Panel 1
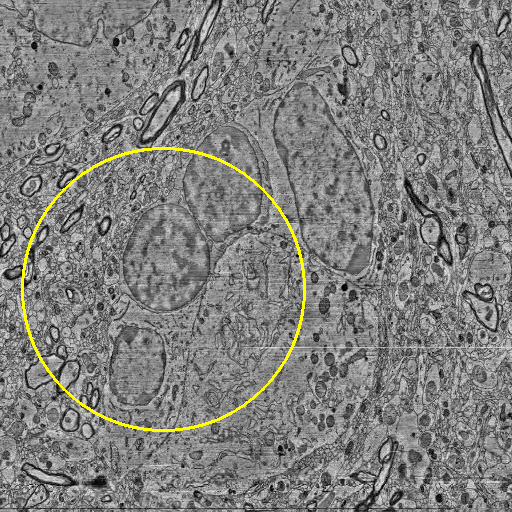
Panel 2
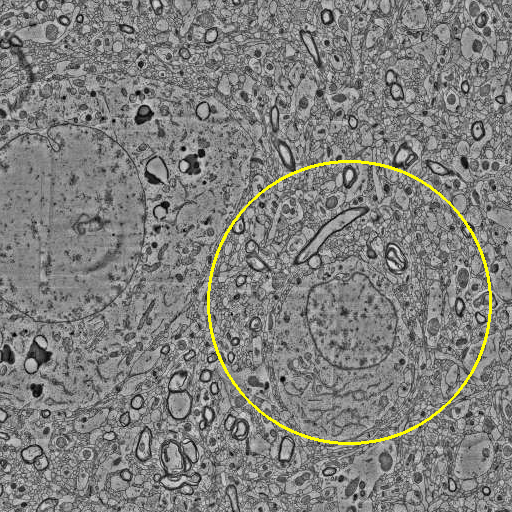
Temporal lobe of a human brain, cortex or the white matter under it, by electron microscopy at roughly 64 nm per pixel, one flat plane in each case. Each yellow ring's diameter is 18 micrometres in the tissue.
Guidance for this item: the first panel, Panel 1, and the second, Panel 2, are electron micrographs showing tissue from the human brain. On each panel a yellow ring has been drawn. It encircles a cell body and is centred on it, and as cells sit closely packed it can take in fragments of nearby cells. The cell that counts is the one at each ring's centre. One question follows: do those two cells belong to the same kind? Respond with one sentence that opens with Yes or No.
No, the cells at the ring centres in Panel 1 and Panel 2 are of two kinds.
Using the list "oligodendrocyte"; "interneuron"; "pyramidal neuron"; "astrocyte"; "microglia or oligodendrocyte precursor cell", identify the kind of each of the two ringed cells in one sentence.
The first is an oligodendrocyte and the second is a pyramidal neuron.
